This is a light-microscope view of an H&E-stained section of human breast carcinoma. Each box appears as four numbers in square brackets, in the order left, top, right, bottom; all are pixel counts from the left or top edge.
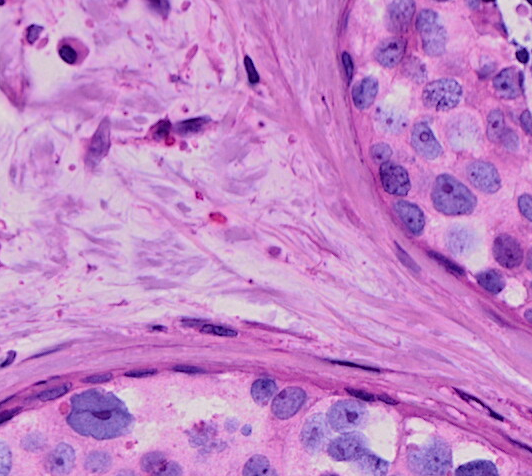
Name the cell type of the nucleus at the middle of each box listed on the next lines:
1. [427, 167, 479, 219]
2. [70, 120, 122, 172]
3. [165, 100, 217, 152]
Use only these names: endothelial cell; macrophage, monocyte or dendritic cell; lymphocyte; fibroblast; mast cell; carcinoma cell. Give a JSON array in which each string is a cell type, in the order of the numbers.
["carcinoma cell", "fibroblast", "fibroblast"]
